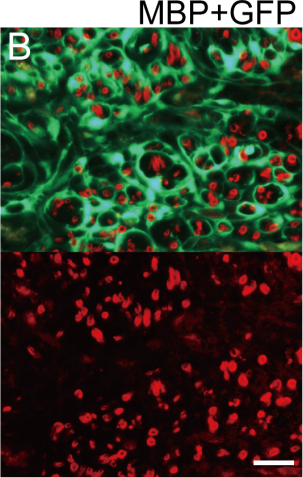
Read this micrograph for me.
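This nerve cross-section shows red myelin sheaths, many seen as small rings or solid round profiles. The red-only view shows the sheaths scattered through the field at different sizes.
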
